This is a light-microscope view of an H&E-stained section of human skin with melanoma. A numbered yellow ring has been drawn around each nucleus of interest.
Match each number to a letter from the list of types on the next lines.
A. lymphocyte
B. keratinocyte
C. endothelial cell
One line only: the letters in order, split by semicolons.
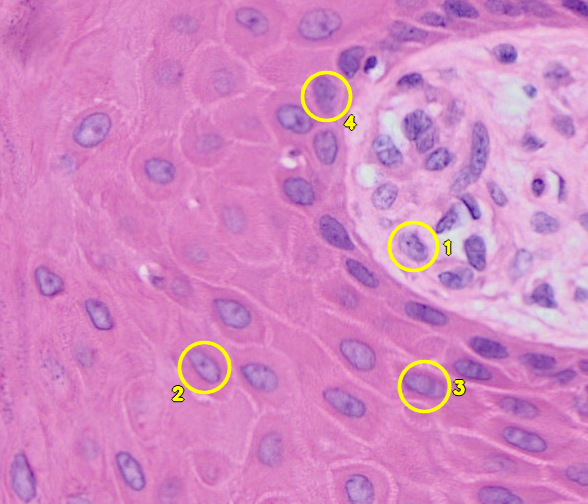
C; B; B; B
